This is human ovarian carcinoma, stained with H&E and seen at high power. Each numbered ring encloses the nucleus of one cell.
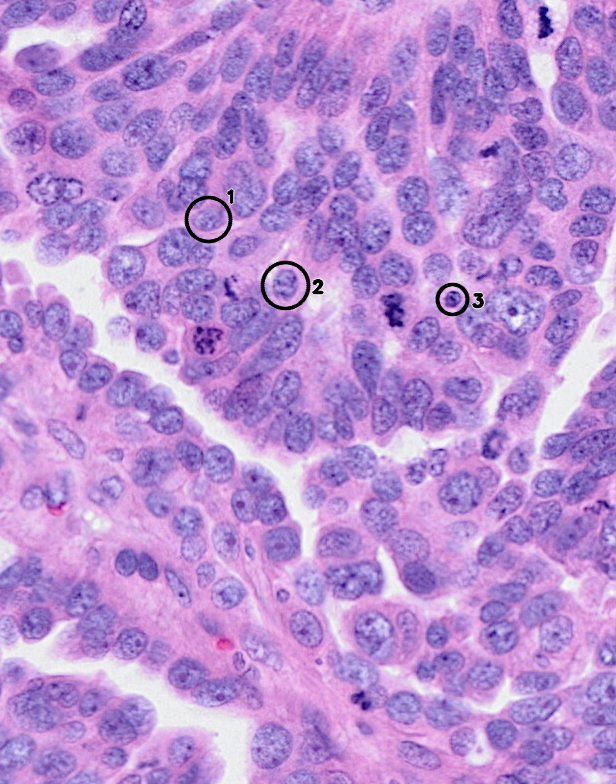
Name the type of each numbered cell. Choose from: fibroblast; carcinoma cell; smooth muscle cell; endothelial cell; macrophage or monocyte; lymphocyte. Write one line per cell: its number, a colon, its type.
1: carcinoma cell
2: macrophage or monocyte
3: lymphocyte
